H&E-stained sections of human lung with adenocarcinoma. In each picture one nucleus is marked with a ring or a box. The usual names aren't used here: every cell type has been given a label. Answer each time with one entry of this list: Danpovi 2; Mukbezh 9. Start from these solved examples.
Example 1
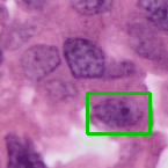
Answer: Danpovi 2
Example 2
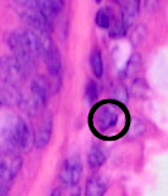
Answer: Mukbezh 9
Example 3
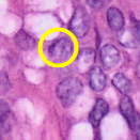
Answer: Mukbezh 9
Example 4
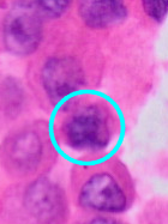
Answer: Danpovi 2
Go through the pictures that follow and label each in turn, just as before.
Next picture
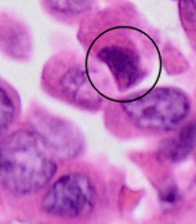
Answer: Danpovi 2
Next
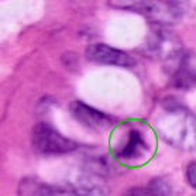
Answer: Mukbezh 9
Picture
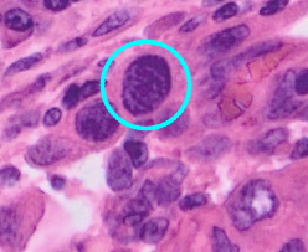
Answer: Danpovi 2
